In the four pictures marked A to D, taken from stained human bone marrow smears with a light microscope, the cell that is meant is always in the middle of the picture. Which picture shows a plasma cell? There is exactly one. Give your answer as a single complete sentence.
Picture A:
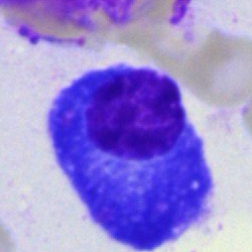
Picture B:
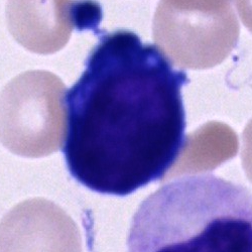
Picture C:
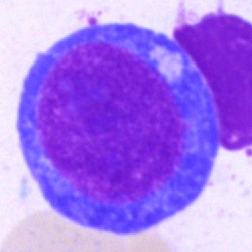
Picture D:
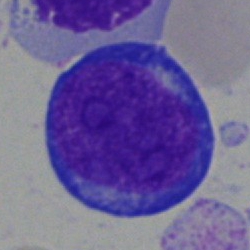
It is picture A that shows the plasma cell.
